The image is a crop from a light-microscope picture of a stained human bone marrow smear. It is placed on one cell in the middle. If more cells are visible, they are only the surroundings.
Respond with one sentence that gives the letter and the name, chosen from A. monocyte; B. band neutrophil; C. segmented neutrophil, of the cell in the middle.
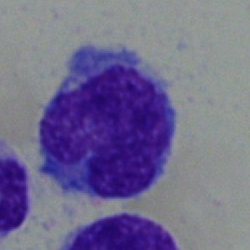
The cell placed in the middle is a monocyte; option A is correct.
